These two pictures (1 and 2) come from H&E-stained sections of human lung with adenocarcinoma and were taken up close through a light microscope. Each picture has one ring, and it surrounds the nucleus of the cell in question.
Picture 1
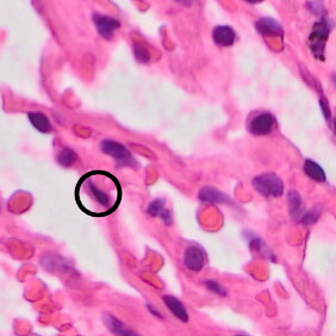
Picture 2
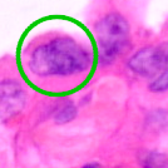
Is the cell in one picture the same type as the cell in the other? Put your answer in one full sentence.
No, picture 1 shows an endothelial cell and picture 2 shows a carcinoma cell.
